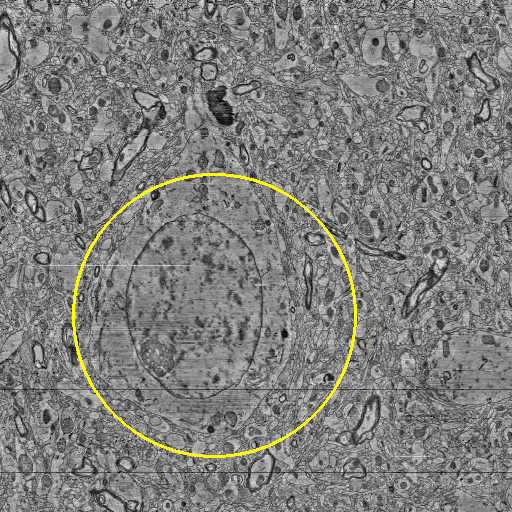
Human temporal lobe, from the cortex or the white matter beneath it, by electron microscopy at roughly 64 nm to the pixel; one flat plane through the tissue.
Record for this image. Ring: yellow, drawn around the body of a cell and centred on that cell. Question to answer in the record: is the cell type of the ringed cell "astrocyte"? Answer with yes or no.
no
